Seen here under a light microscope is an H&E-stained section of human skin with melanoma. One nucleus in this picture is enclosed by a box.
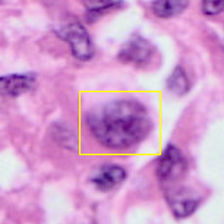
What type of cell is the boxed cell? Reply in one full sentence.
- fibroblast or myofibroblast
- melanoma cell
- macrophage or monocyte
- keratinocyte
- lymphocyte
It is as a melanoma cell that the boxed cell is recorded.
